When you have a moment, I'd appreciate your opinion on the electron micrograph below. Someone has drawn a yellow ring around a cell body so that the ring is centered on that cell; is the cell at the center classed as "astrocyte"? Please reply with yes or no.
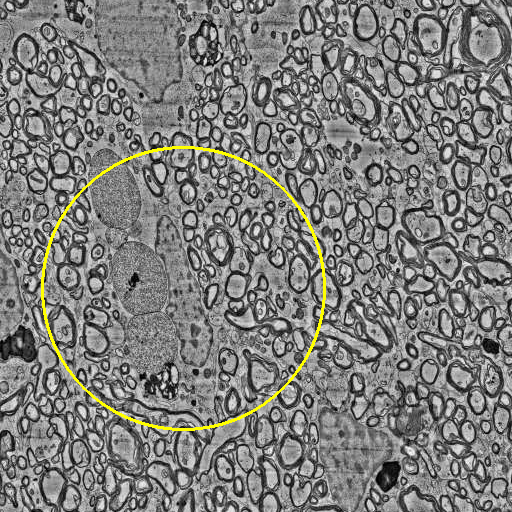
Yes, that cell is of the named kind.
